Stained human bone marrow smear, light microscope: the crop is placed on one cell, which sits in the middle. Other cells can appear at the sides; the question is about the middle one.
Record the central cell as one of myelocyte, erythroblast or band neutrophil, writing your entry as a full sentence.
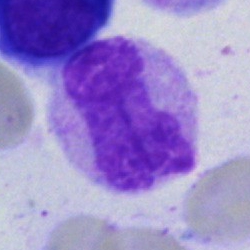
By classification, the middle cell of this crop is a band neutrophil.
